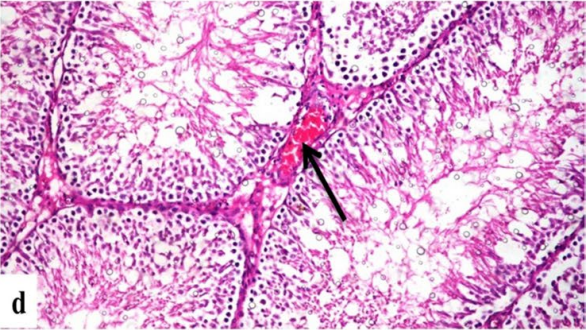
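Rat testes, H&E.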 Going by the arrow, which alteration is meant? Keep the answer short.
Congestion of interstitial blood vessels.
